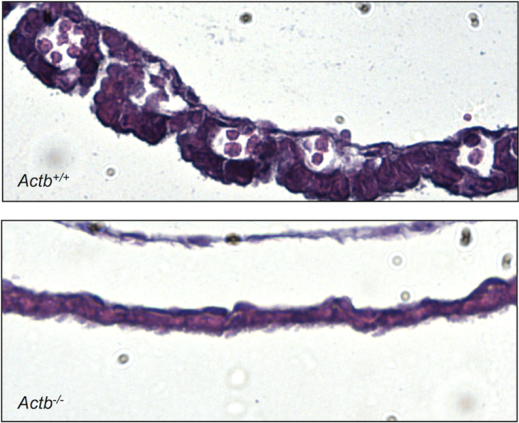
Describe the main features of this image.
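In the upper image the wall is made of a layer of plump cuboidal cells with dark nuclei, and between them lie round spaces, the blood islands, containing loose clusters of round blood cells. In the lower image the wall is a thin, flat, continuous band of cells with almost no cell-filled spaces, so that blood islands are nearly absent.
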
